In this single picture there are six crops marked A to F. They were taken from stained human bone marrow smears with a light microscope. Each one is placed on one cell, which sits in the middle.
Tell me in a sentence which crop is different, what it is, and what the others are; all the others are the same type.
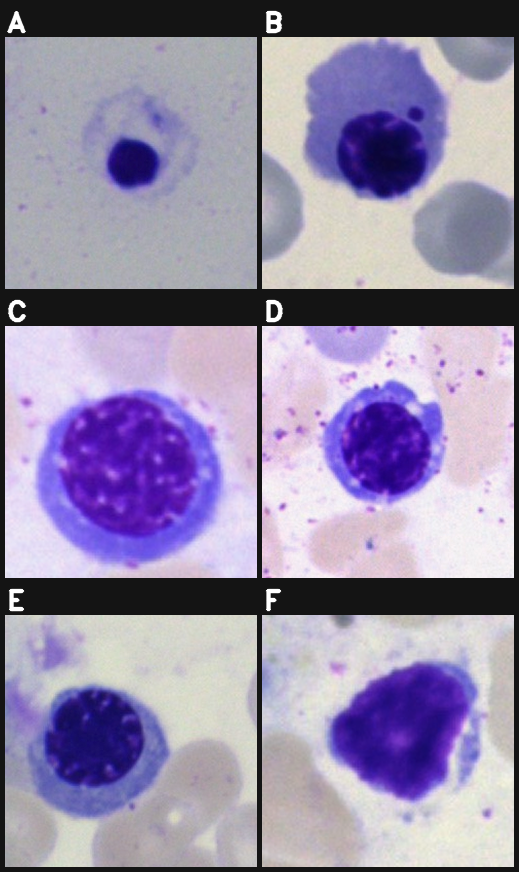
Crop F is singled out as a lymphocyte, and all of the other crops show normoblasts.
